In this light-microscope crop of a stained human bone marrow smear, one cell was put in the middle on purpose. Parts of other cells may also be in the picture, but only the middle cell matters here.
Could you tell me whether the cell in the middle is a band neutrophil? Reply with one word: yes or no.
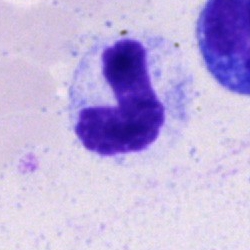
yes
